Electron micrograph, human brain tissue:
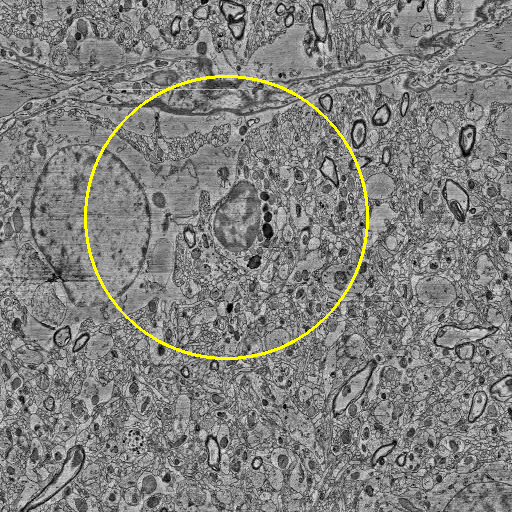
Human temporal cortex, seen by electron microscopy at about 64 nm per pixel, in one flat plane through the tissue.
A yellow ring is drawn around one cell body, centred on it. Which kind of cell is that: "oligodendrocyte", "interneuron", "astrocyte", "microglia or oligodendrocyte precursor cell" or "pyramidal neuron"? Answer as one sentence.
It is a microglial cell or oligodendrocyte precursor cell at the centre of the ring.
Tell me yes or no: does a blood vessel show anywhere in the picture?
Yes, a vessel appears in the picture.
